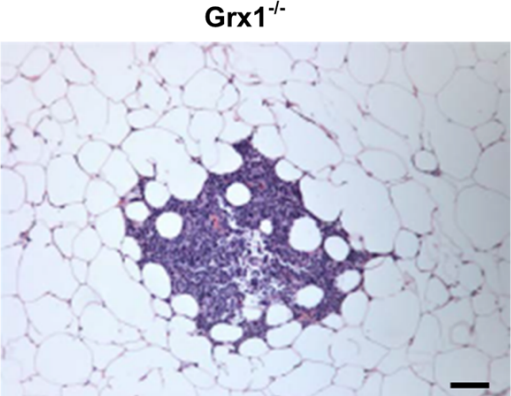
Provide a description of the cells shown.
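Adipose tissue of large, clear adipocytes with thin pink borders, interrupted near the center by a dense aggregate of many small cells with dark purple nuclei. Within and at the edges of this aggregate lie smaller, rounded clear spaces of varying size, and the surrounding adipocytes look otherwise unremarkable.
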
